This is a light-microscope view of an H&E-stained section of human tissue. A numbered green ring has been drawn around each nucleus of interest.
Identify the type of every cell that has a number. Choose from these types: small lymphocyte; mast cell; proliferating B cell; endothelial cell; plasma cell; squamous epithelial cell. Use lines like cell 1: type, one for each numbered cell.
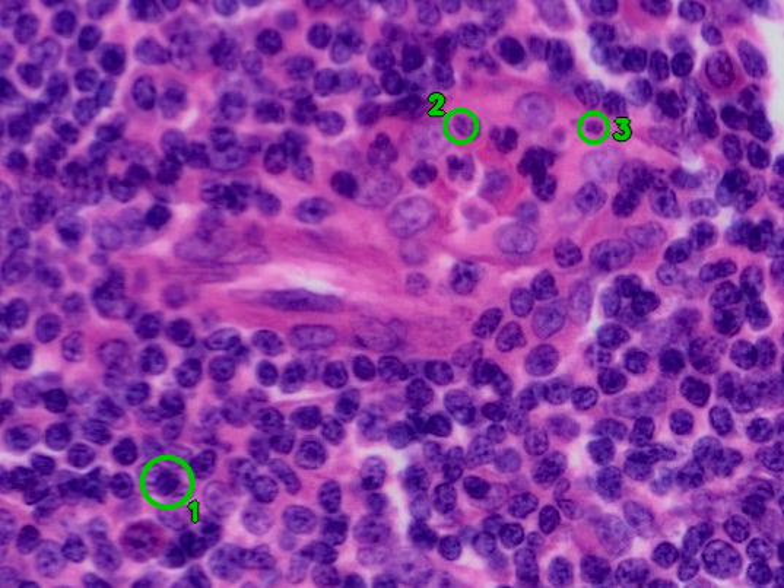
cell 1: small lymphocyte
cell 2: endothelial cell
cell 3: endothelial cell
